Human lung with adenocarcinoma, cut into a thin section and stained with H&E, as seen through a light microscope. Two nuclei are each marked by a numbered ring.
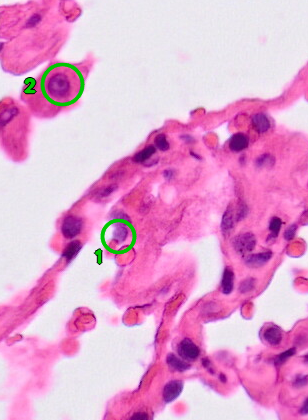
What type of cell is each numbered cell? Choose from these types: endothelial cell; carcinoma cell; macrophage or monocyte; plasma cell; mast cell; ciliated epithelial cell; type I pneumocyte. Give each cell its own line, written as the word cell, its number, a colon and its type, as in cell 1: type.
cell 1: type I pneumocyte
cell 2: macrophage or monocyte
